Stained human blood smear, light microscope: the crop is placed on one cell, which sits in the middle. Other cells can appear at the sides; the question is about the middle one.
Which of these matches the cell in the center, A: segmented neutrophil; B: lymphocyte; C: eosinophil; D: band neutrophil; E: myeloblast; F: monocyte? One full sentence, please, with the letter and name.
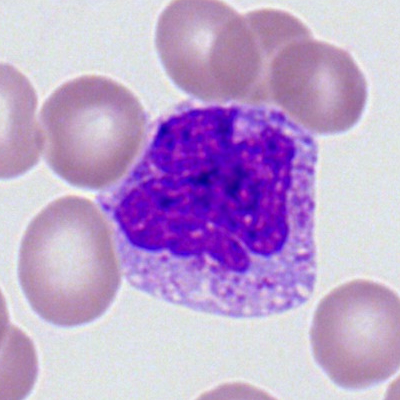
The middle of the crop contains a monocyte, so option F is right.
